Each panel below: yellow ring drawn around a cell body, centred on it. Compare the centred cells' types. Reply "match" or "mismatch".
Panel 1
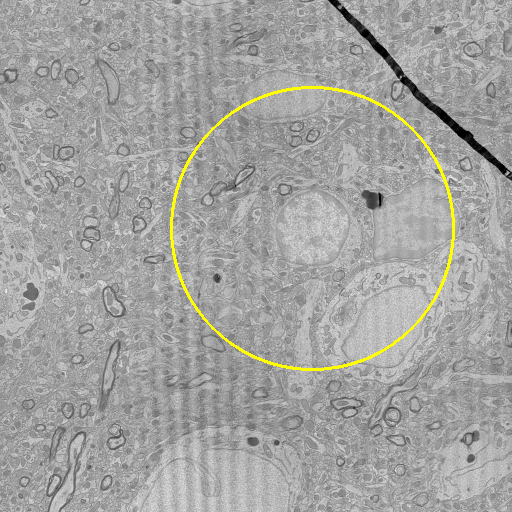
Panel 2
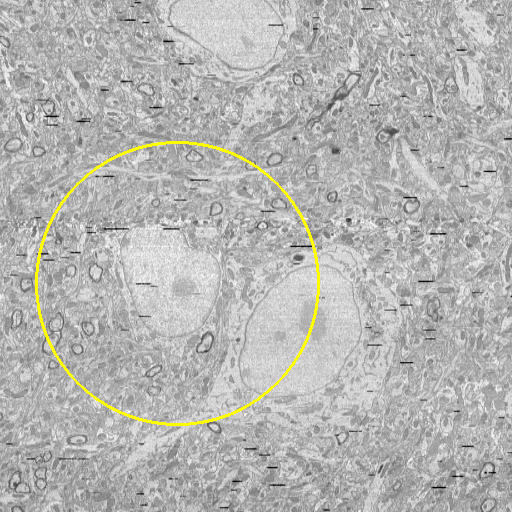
mismatch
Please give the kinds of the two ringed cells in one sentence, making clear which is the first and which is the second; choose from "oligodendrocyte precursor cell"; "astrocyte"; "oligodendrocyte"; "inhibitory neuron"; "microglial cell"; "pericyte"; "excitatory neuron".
In the second picture the ringed cell is an astrocyte; in the first it is an oligodendrocyte.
